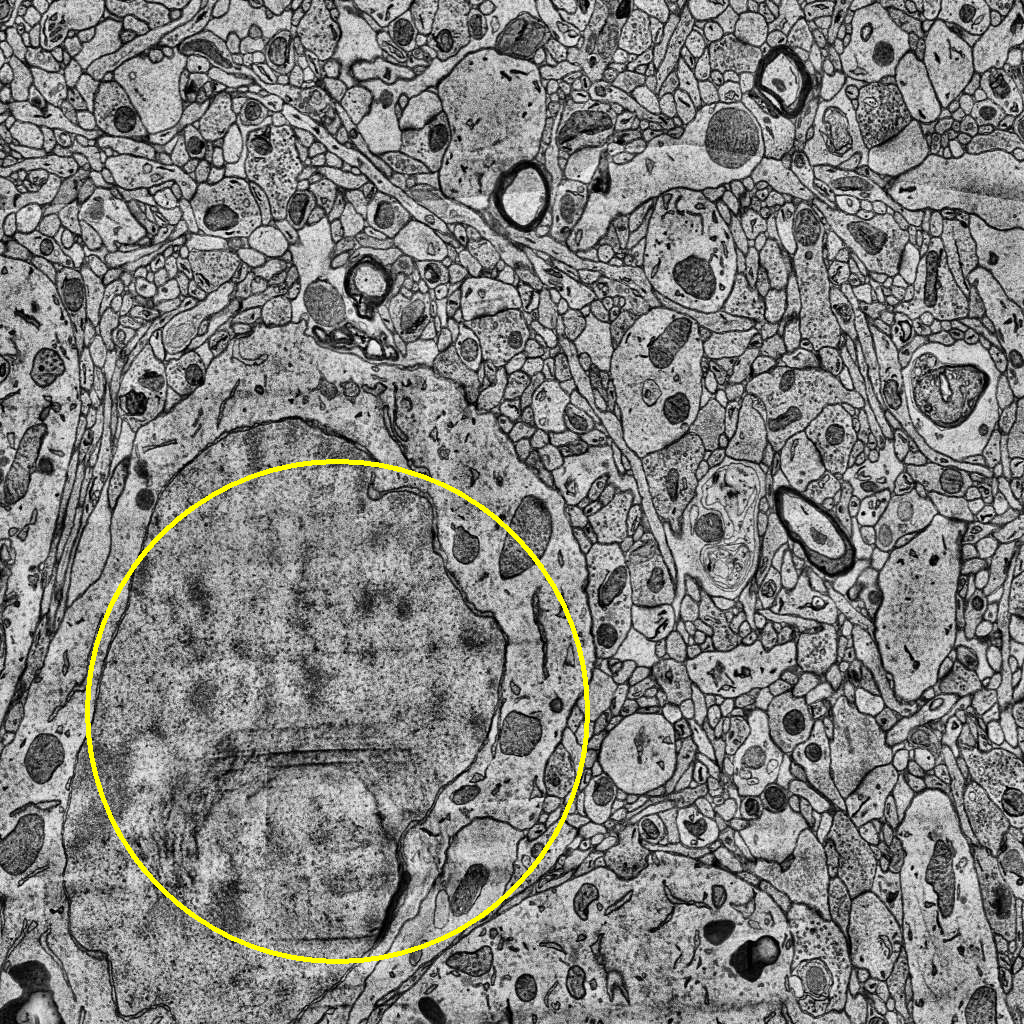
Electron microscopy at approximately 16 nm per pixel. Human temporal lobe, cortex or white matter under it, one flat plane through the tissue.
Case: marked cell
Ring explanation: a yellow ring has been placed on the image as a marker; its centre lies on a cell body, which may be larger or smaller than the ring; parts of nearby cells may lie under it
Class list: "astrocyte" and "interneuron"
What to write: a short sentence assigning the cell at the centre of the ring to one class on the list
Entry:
The cell at the ring's centre is an interneuron.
